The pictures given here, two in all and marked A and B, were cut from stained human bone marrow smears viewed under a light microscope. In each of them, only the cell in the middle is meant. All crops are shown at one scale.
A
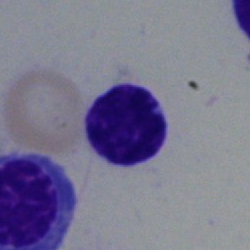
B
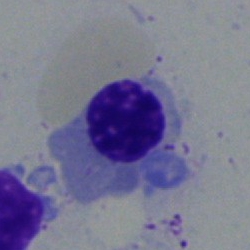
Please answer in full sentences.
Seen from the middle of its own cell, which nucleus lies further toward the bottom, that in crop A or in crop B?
In crop A the nucleus is shifted more toward the bottom.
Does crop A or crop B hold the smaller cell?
The cell in crop A is smaller; the one in crop B has about 2 times its area.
